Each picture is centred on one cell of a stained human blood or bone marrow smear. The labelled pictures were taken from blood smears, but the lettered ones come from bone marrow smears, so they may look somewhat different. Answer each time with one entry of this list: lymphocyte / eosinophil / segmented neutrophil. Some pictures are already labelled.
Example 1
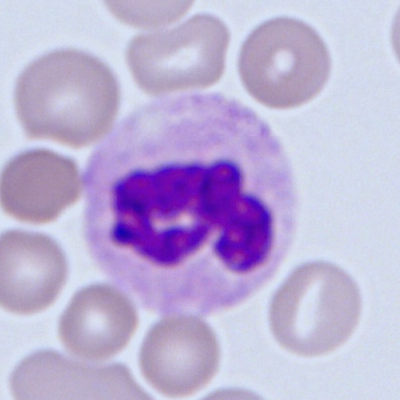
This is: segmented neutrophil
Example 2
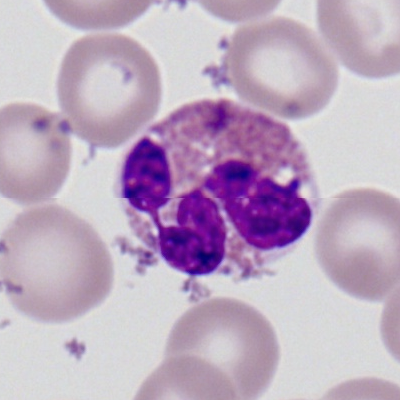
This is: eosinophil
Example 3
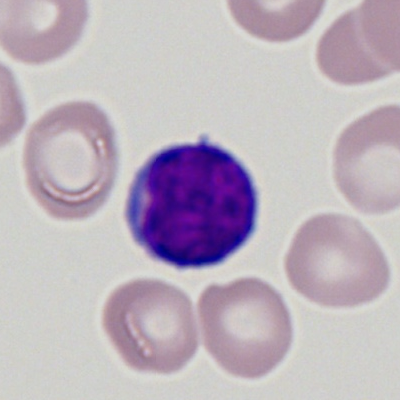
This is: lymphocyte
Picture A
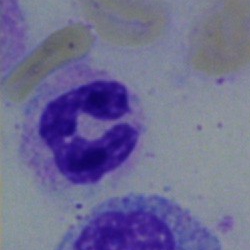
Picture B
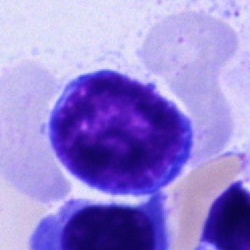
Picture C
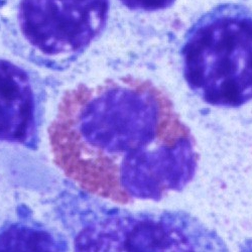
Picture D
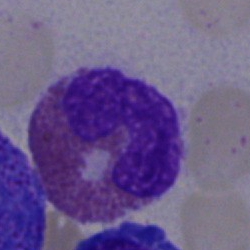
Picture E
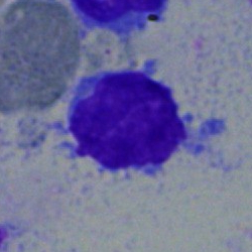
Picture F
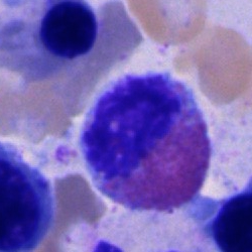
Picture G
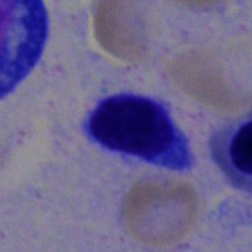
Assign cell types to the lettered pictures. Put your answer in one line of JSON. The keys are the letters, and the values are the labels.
{"A": "segmented neutrophil", "B": "lymphocyte", "C": "eosinophil", "D": "eosinophil", "E": "lymphocyte", "F": "eosinophil", "G": "lymphocyte"}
